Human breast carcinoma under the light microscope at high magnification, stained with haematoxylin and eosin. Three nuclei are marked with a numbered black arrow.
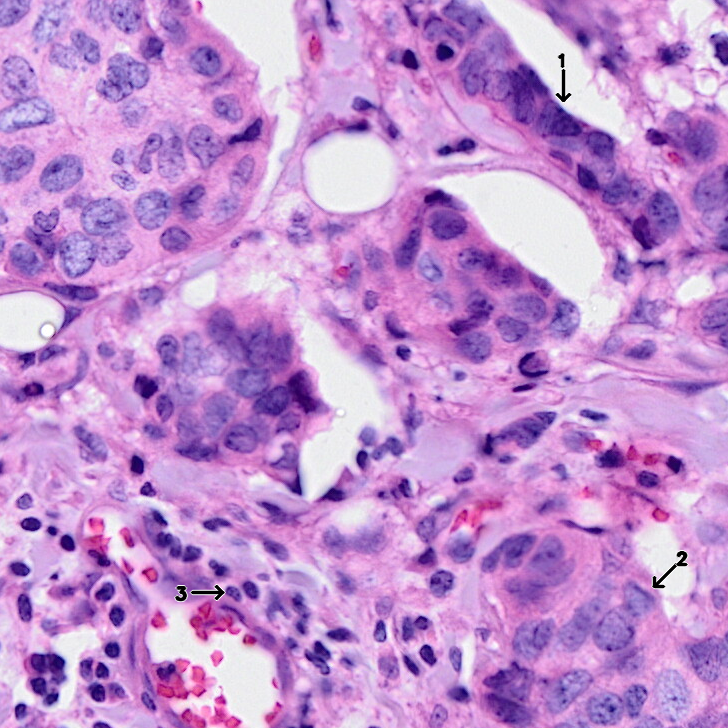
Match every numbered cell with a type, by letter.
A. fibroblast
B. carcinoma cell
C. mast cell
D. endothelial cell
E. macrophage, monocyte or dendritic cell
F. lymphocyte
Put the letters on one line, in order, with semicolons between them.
B; B; F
